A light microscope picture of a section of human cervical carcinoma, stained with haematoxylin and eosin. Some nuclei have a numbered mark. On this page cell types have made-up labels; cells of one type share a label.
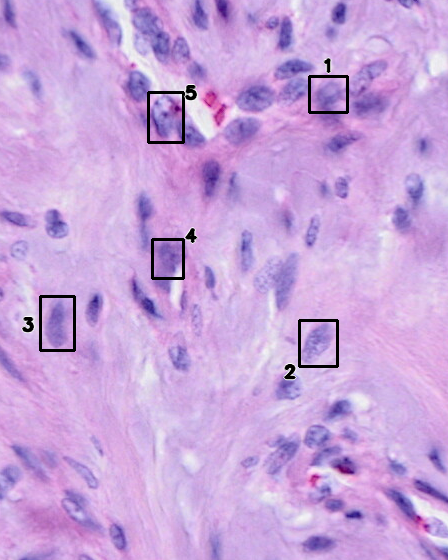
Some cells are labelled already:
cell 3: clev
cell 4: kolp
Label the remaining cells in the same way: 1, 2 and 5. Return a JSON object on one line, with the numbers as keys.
{"1": "kolp", "2": "clev", "5": "kolp"}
